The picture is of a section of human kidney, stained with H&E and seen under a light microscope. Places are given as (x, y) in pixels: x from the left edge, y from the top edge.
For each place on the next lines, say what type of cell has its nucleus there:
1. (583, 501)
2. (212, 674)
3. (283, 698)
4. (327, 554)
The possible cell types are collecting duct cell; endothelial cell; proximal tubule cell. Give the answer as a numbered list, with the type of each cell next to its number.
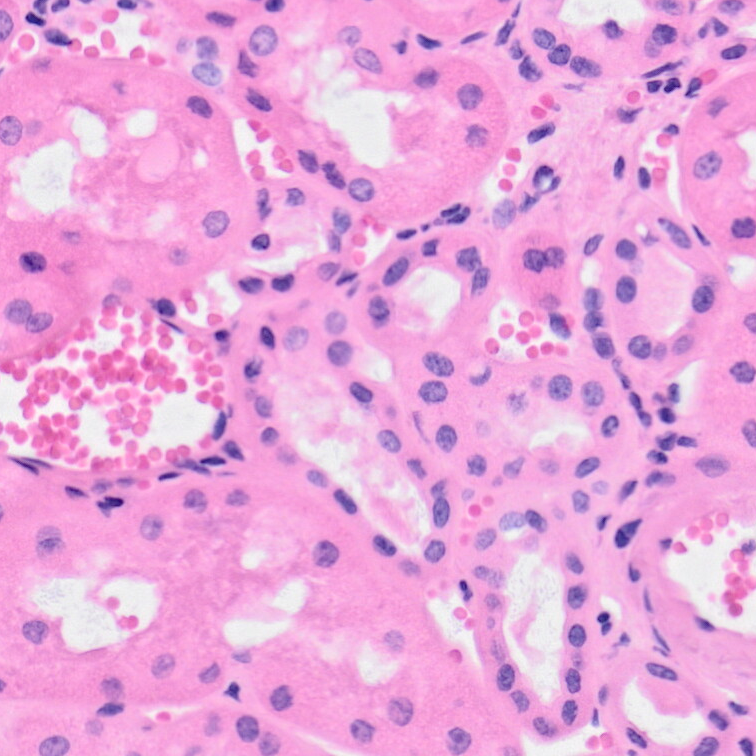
1. collecting duct cell
2. proximal tubule cell
3. proximal tubule cell
4. proximal tubule cell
